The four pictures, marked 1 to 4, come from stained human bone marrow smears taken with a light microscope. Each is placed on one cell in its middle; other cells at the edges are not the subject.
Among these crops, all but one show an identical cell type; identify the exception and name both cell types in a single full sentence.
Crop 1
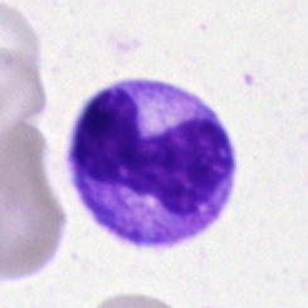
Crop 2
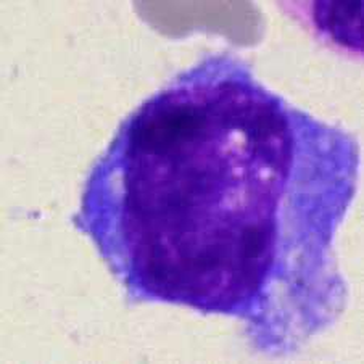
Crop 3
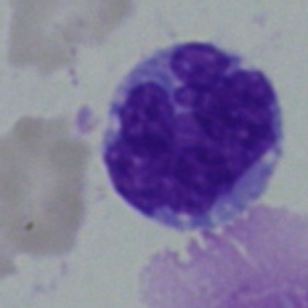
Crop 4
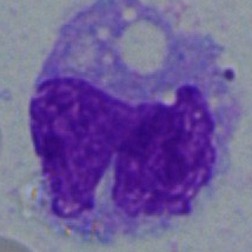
Crop 1 is the sole crop with a band neutrophil; the others all have monocytes.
